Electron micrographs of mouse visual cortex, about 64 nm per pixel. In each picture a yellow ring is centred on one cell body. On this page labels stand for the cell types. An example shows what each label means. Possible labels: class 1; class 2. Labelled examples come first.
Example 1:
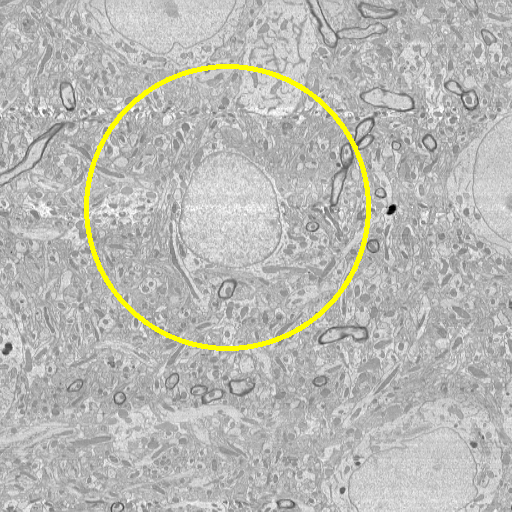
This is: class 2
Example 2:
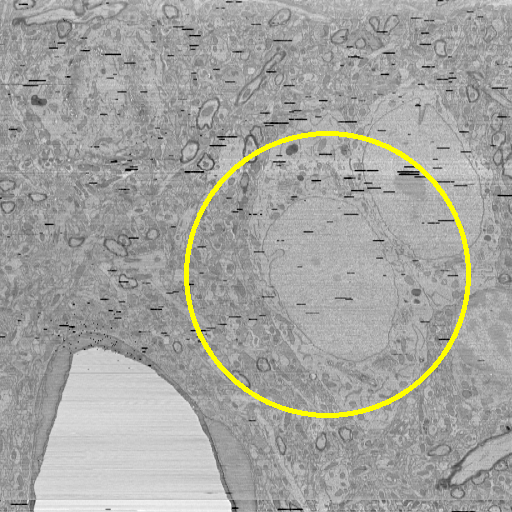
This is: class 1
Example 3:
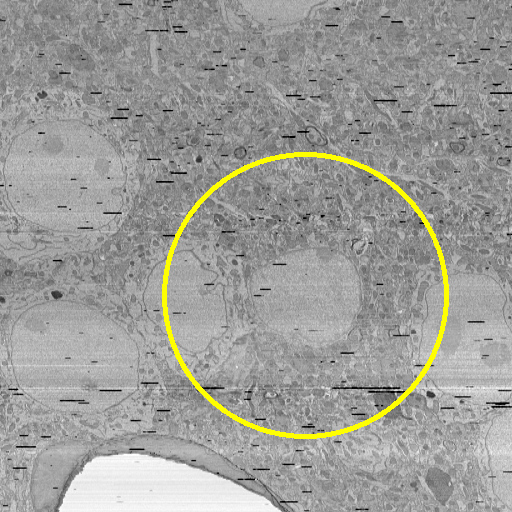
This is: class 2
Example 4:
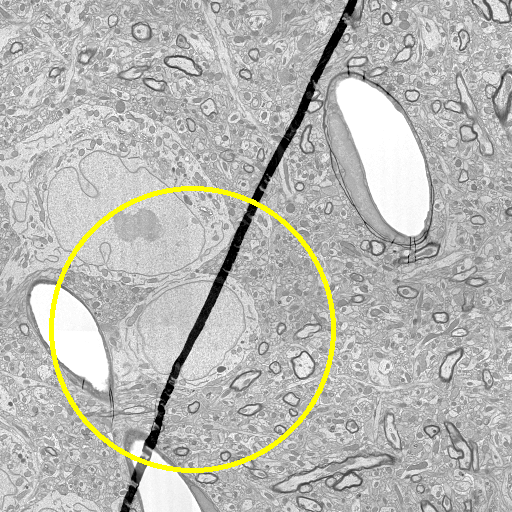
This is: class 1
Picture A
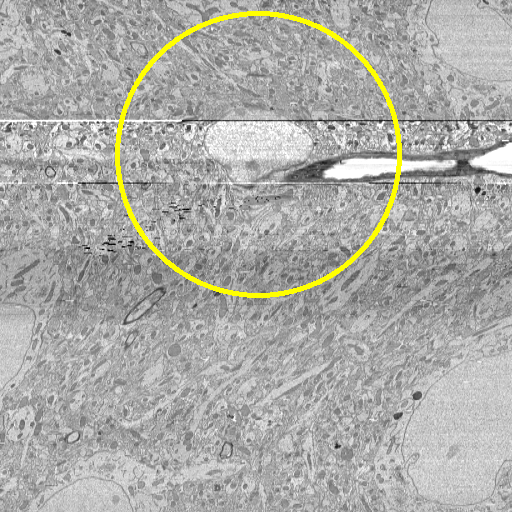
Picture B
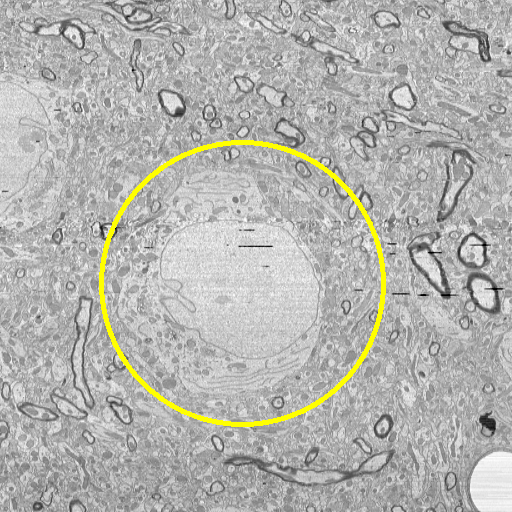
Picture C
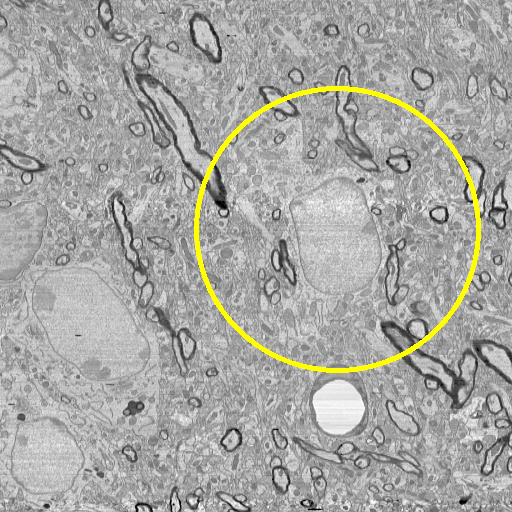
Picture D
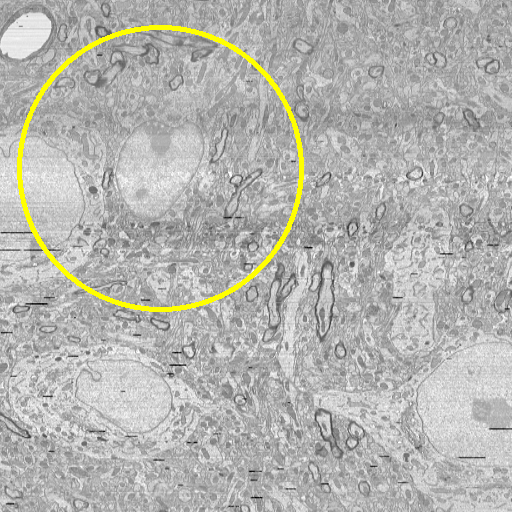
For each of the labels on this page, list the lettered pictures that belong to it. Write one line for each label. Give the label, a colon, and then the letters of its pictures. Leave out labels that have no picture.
class 1: B
class 2: A, C, D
